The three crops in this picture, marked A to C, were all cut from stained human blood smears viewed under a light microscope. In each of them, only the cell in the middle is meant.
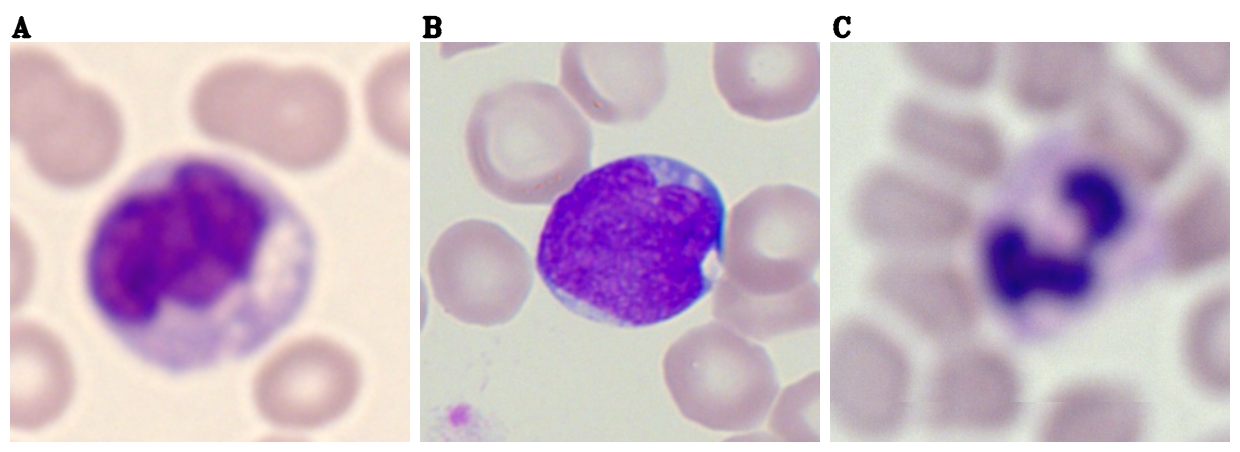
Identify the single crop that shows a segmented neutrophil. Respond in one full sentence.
Crop C, of the crops presented, is the one showing a segmented neutrophil.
